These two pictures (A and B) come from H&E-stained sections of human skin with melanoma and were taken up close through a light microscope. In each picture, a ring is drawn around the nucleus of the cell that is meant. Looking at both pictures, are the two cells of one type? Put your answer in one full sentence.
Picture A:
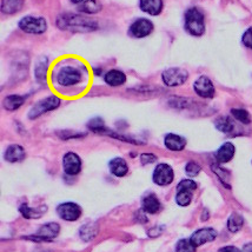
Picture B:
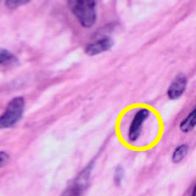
Yes, the two pictures both show lymphocytes.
